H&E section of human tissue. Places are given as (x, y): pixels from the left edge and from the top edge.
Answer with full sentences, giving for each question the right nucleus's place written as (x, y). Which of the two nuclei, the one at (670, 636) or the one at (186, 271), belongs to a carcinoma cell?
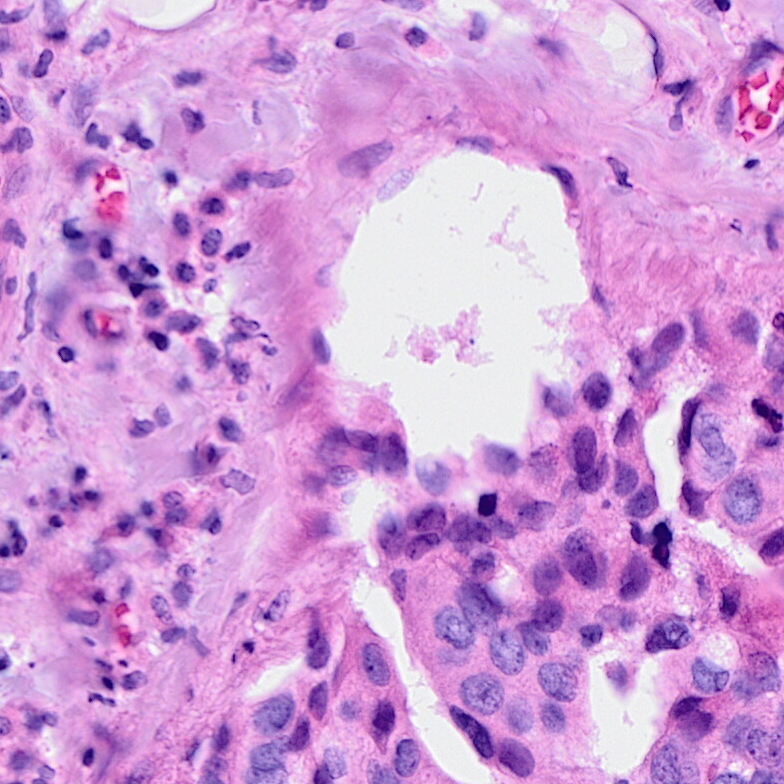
Of the two, the nucleus lying at (670, 636) is the one belonging to a carcinoma cell.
